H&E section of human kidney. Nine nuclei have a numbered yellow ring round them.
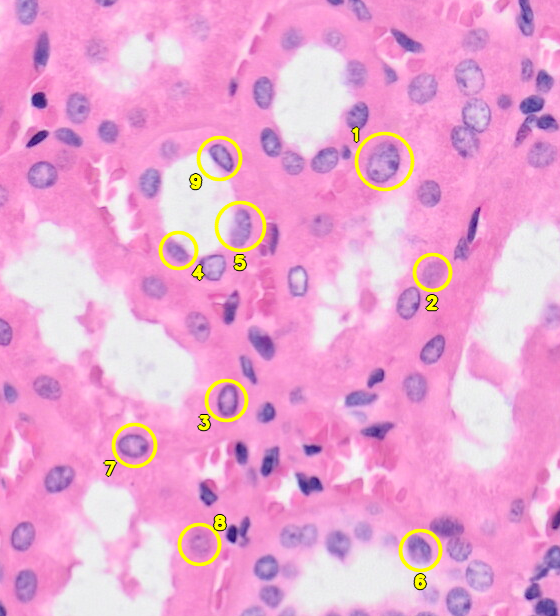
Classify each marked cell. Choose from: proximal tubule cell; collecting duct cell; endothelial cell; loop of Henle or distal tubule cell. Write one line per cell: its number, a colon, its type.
1: proximal tubule cell
2: proximal tubule cell
3: proximal tubule cell
4: loop of Henle or distal tubule cell
5: loop of Henle or distal tubule cell
6: collecting duct cell
7: proximal tubule cell
8: proximal tubule cell
9: loop of Henle or distal tubule cell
